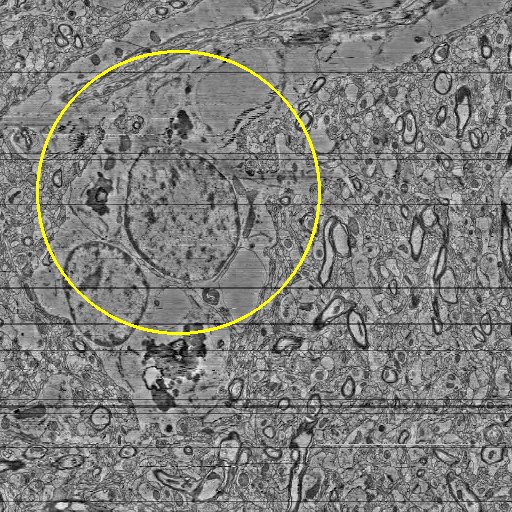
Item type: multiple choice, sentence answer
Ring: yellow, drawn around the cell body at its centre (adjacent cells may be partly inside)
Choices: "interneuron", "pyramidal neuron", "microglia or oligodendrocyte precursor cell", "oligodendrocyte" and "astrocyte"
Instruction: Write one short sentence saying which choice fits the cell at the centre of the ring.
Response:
This ring is drawn around an astrocyte.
